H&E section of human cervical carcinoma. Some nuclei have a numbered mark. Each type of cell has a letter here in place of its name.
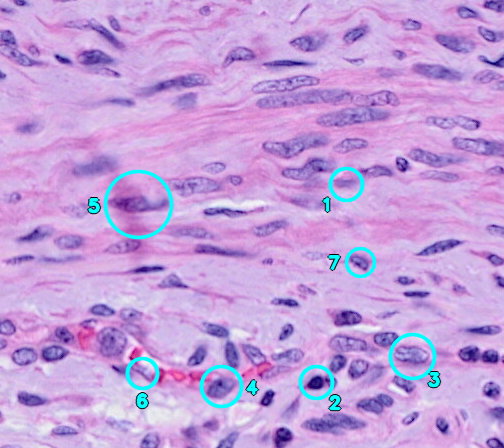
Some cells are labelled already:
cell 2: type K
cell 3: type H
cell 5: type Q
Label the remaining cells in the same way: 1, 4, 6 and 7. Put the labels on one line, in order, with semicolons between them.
type Q; type H; type H; type Q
